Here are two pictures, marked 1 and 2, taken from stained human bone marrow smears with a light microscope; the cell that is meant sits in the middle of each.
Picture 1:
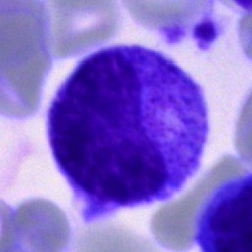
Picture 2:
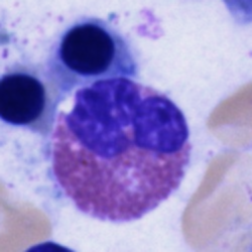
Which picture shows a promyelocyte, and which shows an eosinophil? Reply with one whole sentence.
Picture 2 shows an eosinophil, while picture 1 shows a promyelocyte.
